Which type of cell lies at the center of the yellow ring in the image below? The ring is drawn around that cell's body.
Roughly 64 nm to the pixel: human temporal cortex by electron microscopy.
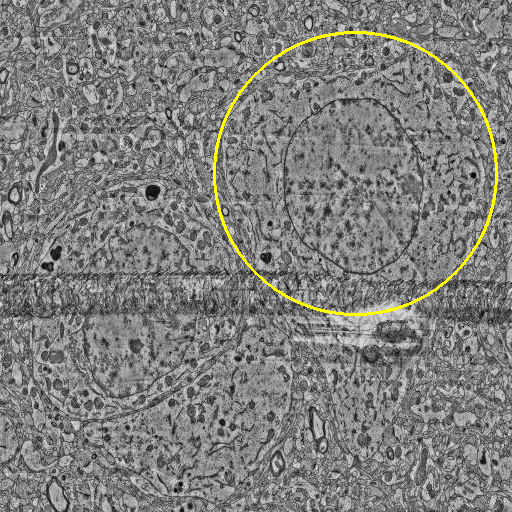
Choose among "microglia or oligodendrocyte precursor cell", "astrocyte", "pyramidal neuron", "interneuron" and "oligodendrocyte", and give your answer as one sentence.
The cell body at the center belongs to a pyramidal neuron.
